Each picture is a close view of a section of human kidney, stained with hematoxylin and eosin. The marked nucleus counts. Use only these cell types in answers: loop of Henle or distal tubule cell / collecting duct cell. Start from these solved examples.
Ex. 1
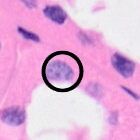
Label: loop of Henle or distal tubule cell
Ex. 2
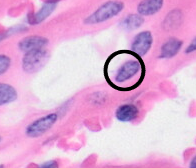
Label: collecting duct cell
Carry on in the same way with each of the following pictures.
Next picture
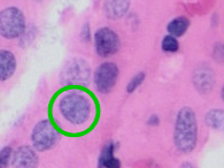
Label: collecting duct cell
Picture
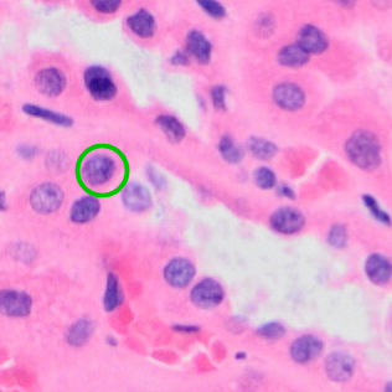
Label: loop of Henle or distal tubule cell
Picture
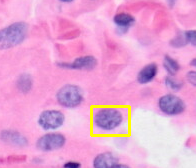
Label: loop of Henle or distal tubule cell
